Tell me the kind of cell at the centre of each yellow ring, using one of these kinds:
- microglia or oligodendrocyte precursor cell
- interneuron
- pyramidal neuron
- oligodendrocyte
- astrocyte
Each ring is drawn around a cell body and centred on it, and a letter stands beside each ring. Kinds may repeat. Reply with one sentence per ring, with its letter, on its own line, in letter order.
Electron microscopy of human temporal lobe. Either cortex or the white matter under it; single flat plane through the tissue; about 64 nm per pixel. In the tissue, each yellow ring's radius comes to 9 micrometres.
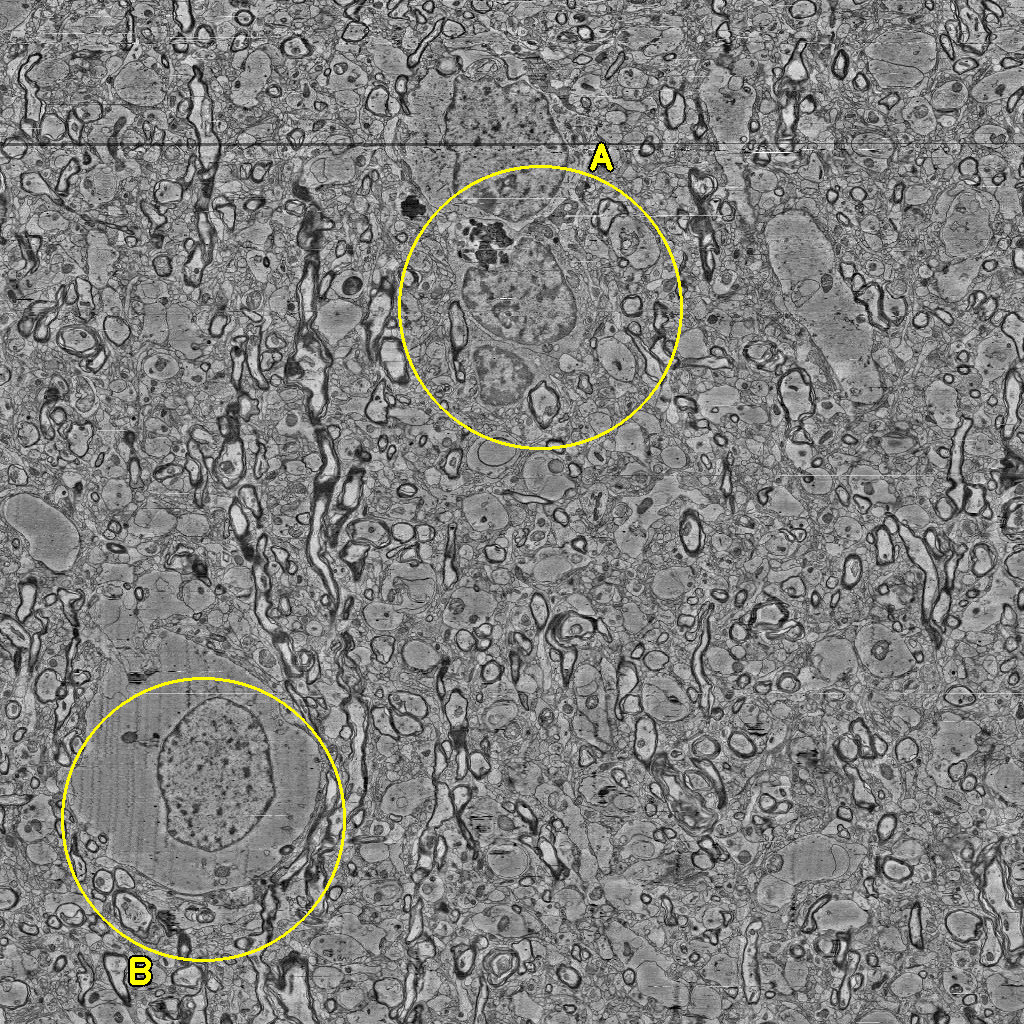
The ring labelled A is centred on an oligodendrocyte.
The ring labelled B is centred on an astrocyte.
